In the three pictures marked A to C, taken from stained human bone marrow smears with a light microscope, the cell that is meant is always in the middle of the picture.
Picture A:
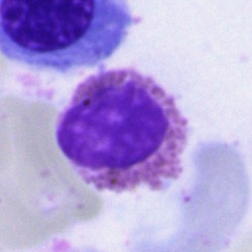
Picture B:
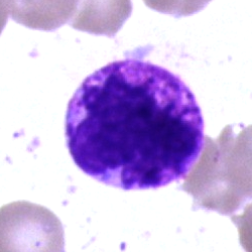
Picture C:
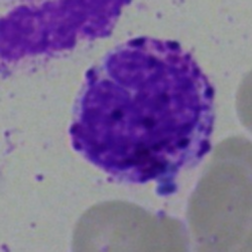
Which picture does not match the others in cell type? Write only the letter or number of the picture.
A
